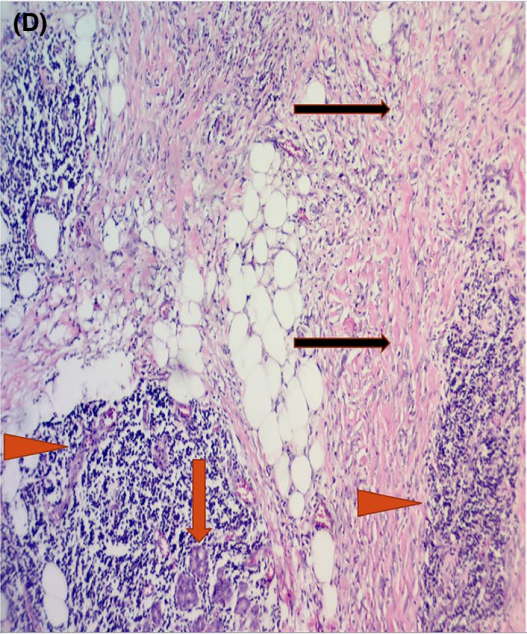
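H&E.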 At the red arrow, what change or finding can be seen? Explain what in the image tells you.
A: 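Small pale purple glandular units lie among densely packed lymphoid cells. The glandular units are few and small. That points to this answer: atrophic acini.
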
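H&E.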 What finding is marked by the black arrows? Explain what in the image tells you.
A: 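Extensive fibrosis. Bands of pink wavy collagen fibres with scattered spindle nuclei. The fibrous bands separate the lymphoid aggregates and fat.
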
